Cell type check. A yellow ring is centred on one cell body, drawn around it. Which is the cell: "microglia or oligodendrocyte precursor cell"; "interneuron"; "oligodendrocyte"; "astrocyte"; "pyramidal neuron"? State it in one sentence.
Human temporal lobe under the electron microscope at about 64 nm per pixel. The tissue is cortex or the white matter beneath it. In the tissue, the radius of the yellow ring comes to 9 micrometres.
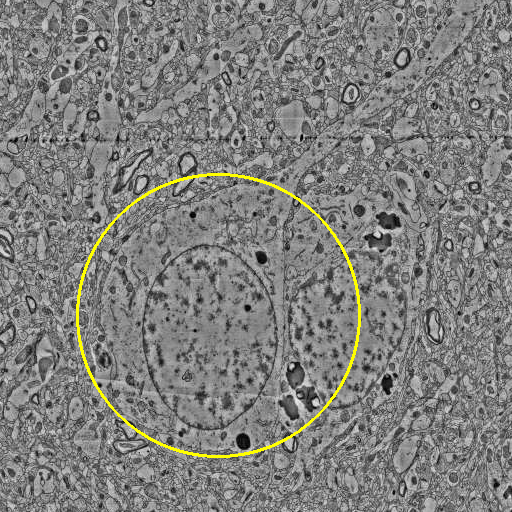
The cell body at the ring's centre belongs to a pyramidal neuron.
